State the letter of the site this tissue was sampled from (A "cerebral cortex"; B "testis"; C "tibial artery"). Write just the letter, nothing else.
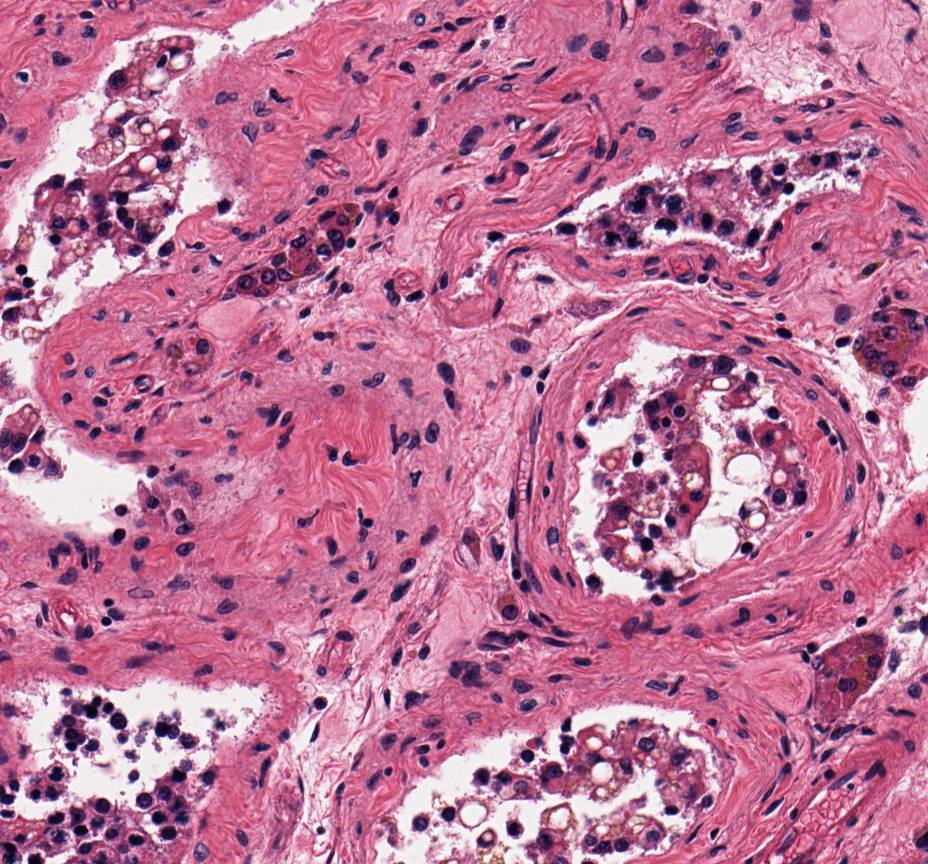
B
